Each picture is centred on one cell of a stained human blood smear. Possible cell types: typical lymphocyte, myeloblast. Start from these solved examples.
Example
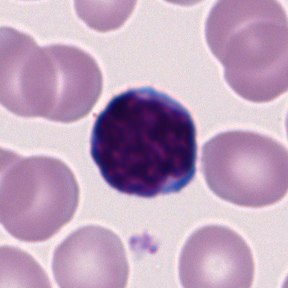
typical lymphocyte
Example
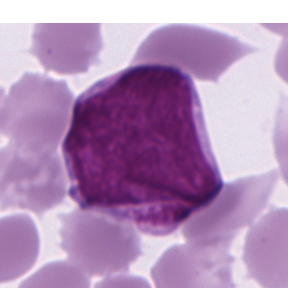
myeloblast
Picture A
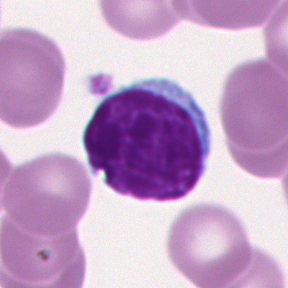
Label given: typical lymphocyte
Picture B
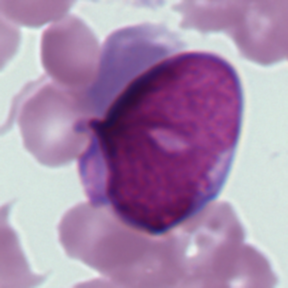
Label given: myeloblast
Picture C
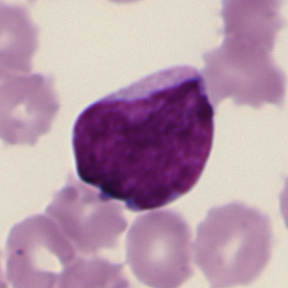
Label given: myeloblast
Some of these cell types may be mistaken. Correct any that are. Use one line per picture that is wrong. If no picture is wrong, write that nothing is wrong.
Every label is right.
